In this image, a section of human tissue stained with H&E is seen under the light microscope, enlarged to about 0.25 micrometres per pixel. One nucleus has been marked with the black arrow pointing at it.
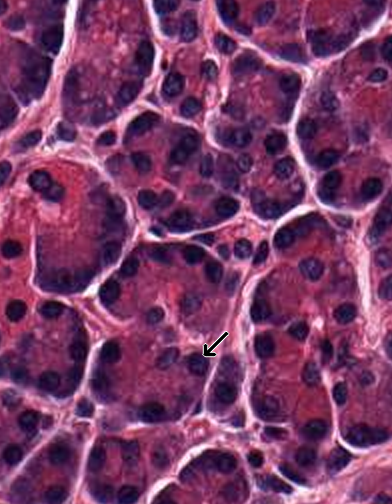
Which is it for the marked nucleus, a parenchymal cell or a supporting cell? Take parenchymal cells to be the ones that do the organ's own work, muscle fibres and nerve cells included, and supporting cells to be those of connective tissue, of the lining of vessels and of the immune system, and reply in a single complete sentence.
The marked nucleus, belonging to a parenchymal cell, is that of a pancreatic acinar cell.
